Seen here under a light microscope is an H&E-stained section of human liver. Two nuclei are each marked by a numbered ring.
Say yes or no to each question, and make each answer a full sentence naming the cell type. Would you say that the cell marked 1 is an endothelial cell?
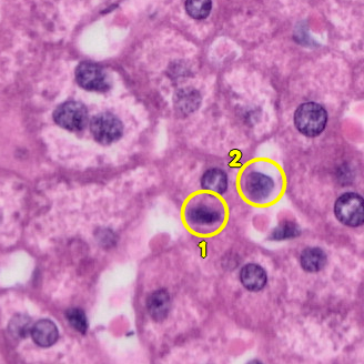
No, the cell labelled number 1 is not an endothelial cell; it is a fibroblast or stellate cell.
